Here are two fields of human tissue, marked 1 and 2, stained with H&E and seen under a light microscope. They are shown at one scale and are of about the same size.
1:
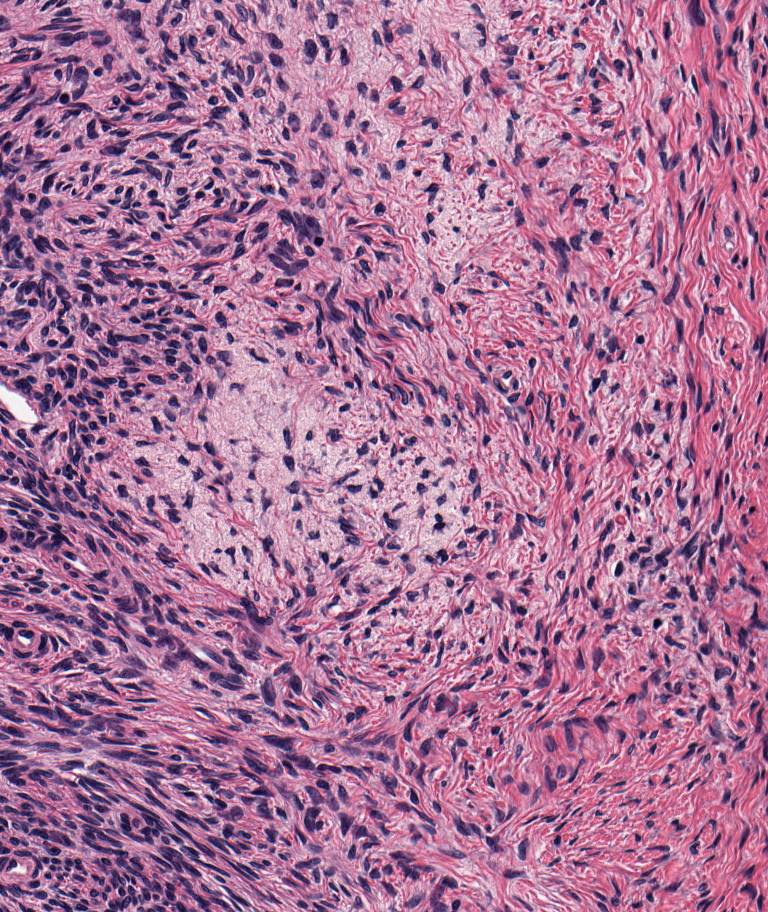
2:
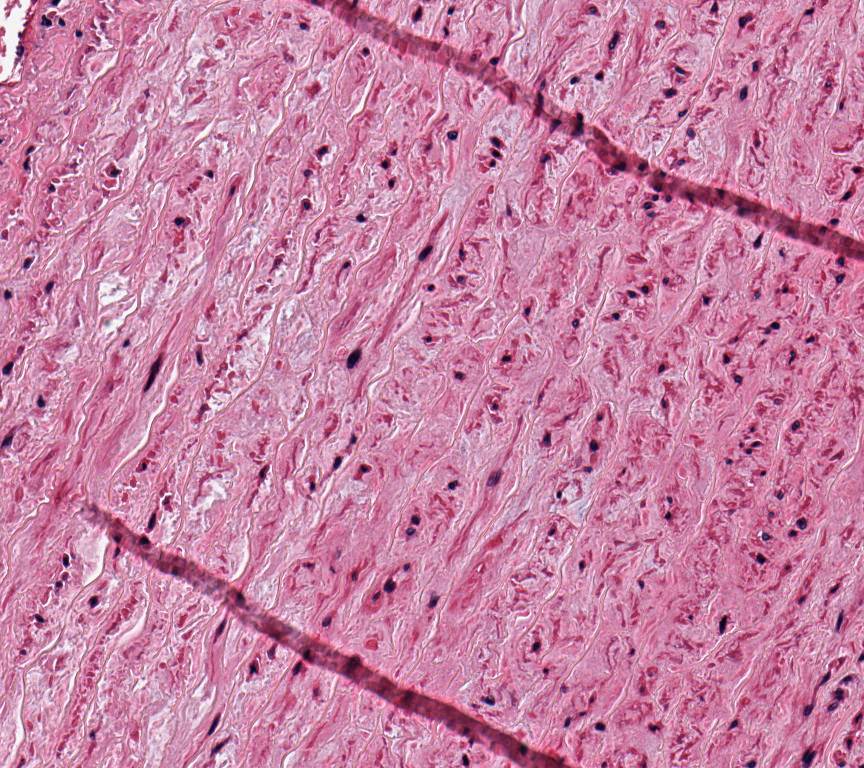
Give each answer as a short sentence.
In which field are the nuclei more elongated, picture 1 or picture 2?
It is picture 1 whose nuclei are the more elongated.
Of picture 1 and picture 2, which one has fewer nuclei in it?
It is picture 2 that has fewer nuclei in it.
